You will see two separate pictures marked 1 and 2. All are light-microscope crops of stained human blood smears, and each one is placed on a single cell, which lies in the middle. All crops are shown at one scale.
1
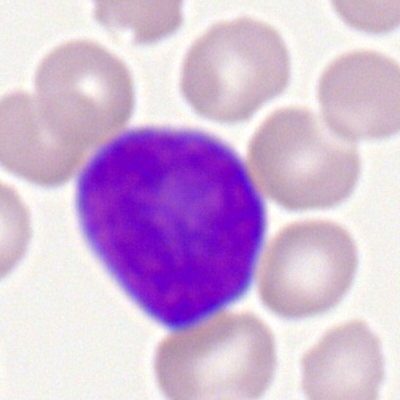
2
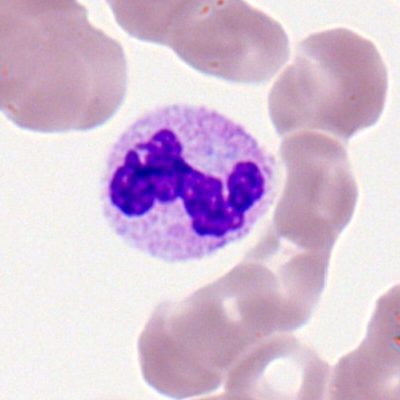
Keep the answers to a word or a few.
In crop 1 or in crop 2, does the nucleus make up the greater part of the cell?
1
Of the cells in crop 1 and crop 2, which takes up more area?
1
